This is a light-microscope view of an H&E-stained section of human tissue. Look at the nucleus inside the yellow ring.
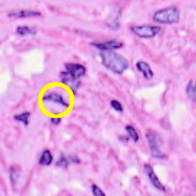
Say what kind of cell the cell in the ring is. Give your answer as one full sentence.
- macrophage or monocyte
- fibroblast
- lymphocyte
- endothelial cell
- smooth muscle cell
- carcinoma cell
This is a fibroblast.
